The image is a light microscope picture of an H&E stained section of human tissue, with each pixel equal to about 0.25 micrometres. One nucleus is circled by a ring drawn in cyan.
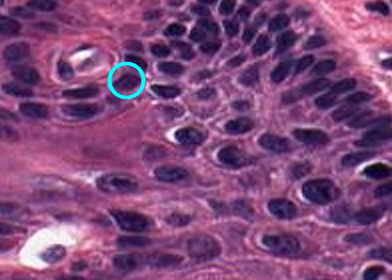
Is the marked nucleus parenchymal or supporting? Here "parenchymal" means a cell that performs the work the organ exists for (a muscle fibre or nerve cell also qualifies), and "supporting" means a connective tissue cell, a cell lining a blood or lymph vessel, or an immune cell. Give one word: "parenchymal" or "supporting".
parenchymal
